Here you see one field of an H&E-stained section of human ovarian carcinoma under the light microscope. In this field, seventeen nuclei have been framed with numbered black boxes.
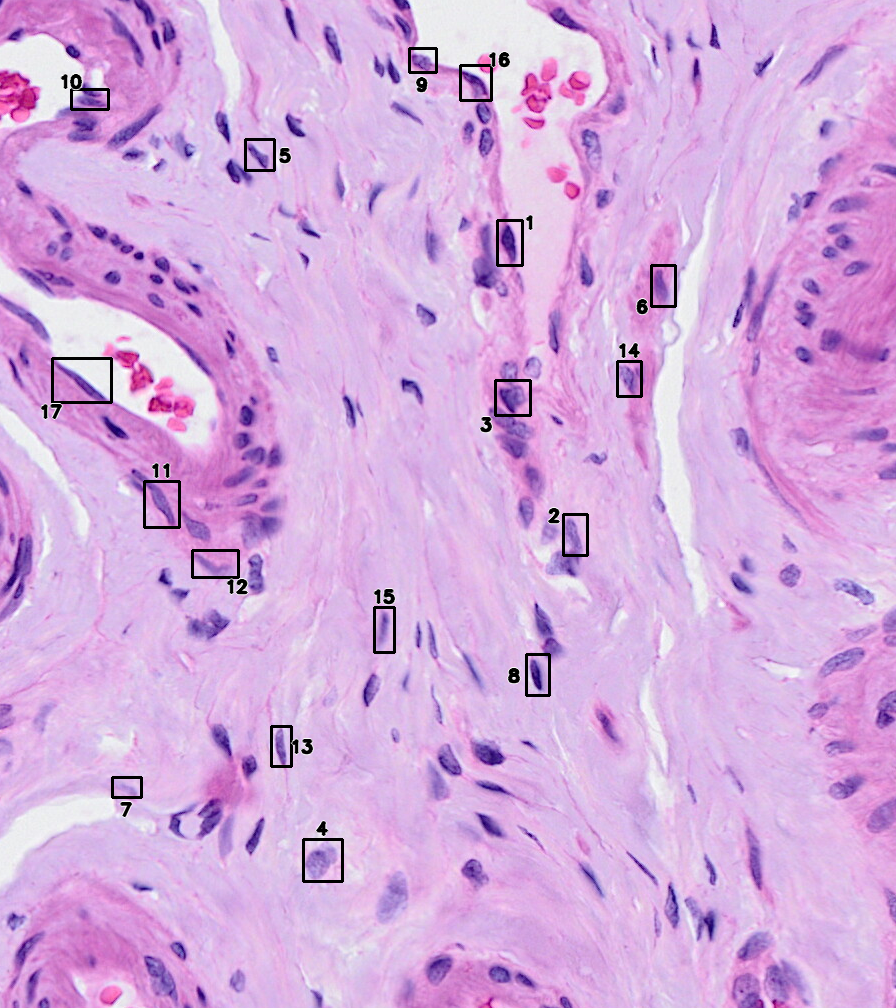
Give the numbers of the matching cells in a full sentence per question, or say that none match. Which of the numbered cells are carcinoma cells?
Of the numbered cells, none can be classed as carcinoma cells.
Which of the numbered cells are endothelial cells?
Cells 1, 3, 9, 10, 16 and 17 in the section are typed as endothelial cells.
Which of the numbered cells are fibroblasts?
So, the cells with numbers 2, 4, 5, 7, 8, 13 and 15 are fibroblasts.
